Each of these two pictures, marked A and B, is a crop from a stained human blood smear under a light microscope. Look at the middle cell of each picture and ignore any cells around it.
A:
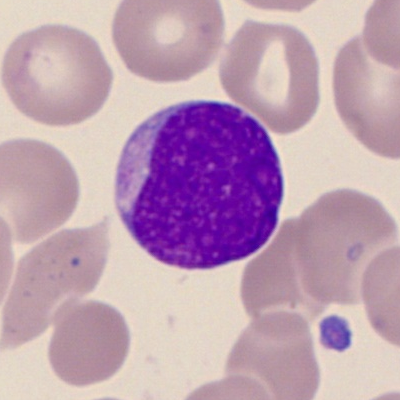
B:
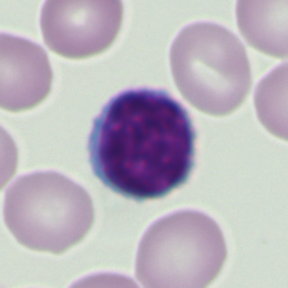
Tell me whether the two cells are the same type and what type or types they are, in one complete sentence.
No, crop A and crop B show a blast and a lymphocyte respectively.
